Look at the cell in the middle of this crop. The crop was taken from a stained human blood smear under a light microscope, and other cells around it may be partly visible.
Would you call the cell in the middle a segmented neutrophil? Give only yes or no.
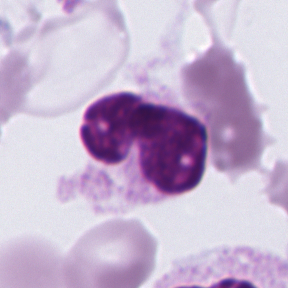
yes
